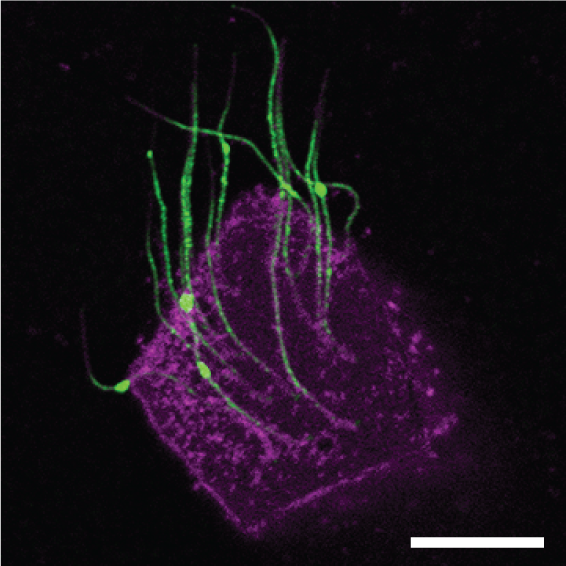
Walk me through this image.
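This is a ciliated cell seen from the surface, with its cell body outlined in magenta and a small number of long cilia extending from it. The cilia are fewer and more widely spaced than in a full tuft. The green signal runs along the cilia and collects in several large, bright, round swellings along their length and at some tips. The magenta membrane of the cell body shows a speckled, granular surface.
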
